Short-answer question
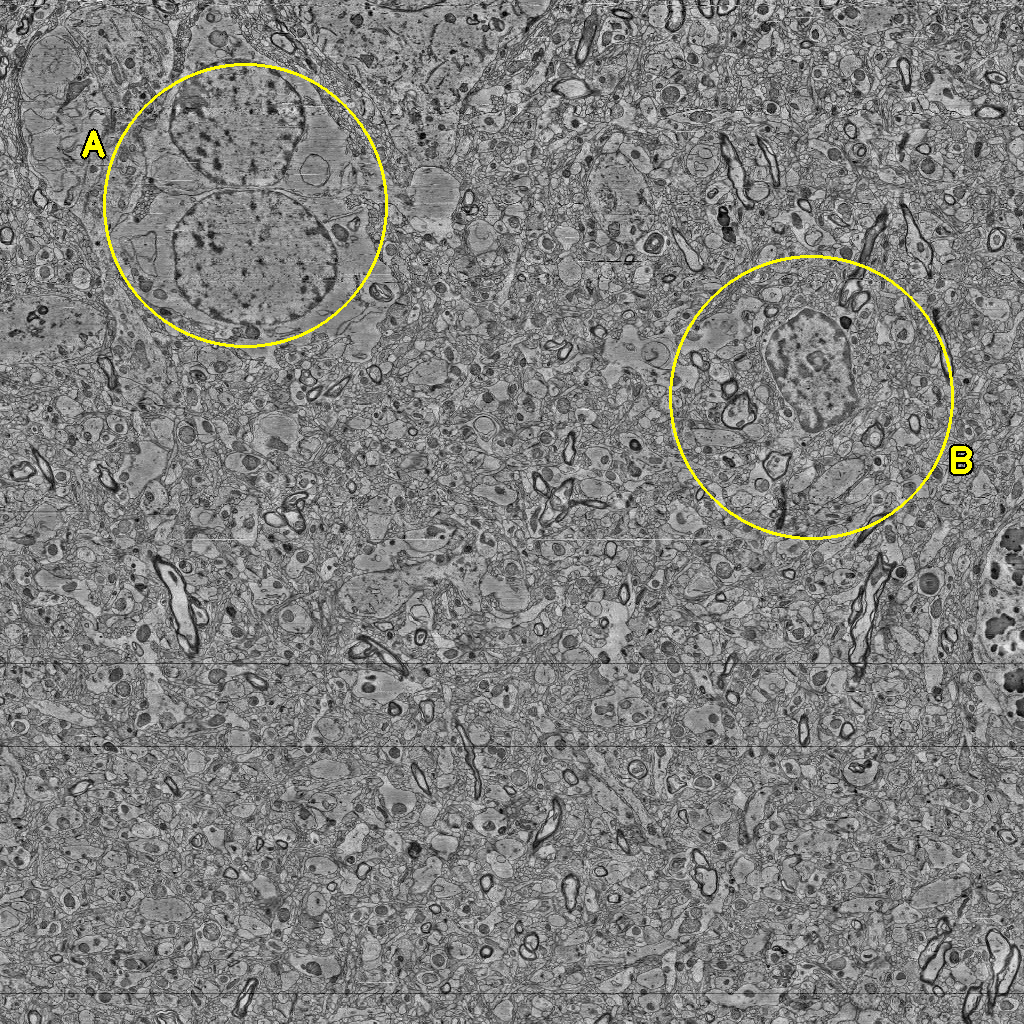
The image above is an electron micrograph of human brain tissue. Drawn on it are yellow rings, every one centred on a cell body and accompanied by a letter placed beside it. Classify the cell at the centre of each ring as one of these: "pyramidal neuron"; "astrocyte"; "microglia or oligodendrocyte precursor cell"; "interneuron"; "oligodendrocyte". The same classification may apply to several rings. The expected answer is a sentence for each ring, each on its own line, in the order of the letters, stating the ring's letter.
The cell at ring A is classified as an astrocyte.
The cell at ring B is classified as a microglial cell or oligodendrocyte precursor cell.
